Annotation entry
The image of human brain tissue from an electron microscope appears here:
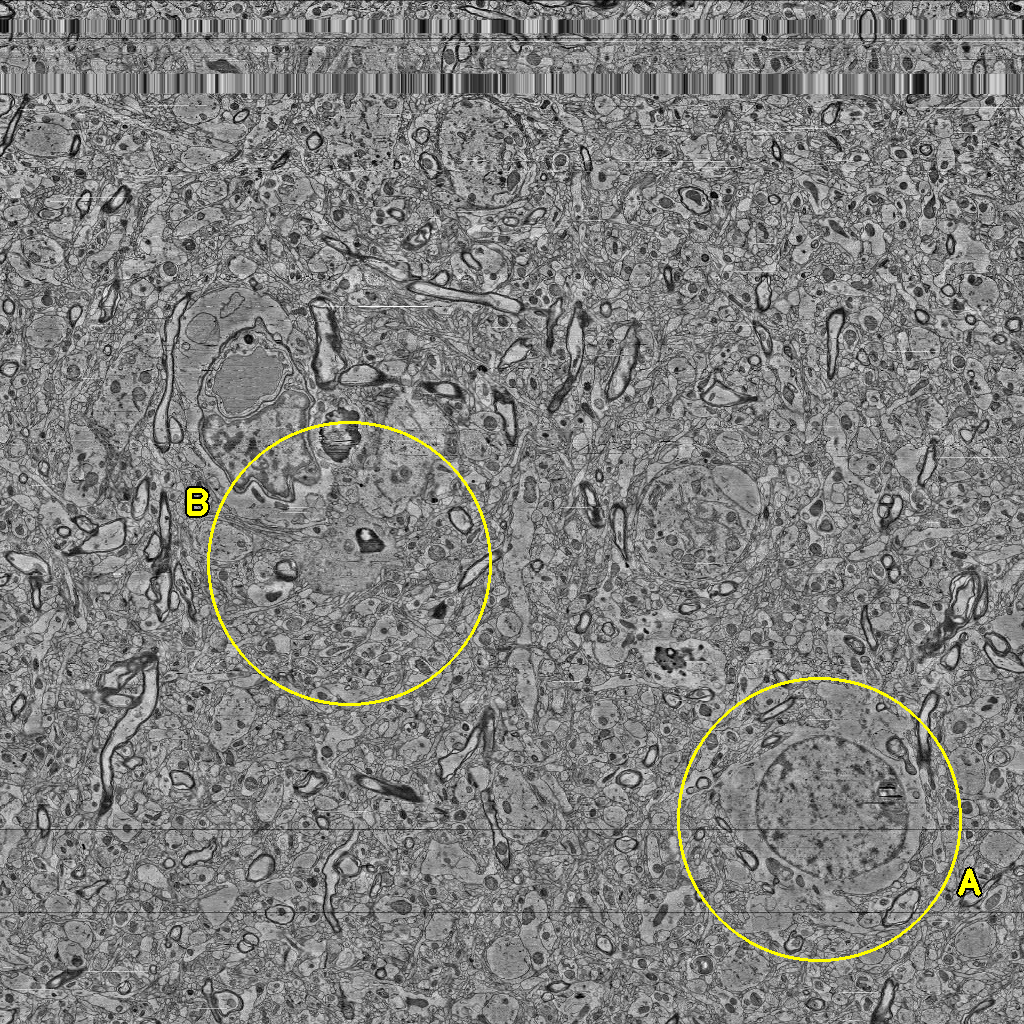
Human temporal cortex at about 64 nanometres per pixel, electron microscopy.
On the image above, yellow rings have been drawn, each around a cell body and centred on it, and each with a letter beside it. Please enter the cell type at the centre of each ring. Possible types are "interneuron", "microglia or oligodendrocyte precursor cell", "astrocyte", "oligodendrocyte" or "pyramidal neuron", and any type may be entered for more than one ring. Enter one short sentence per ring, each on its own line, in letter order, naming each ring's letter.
The cell that ring A is centred on is an astrocyte.
The cell that ring B is centred on is an oligodendrocyte.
